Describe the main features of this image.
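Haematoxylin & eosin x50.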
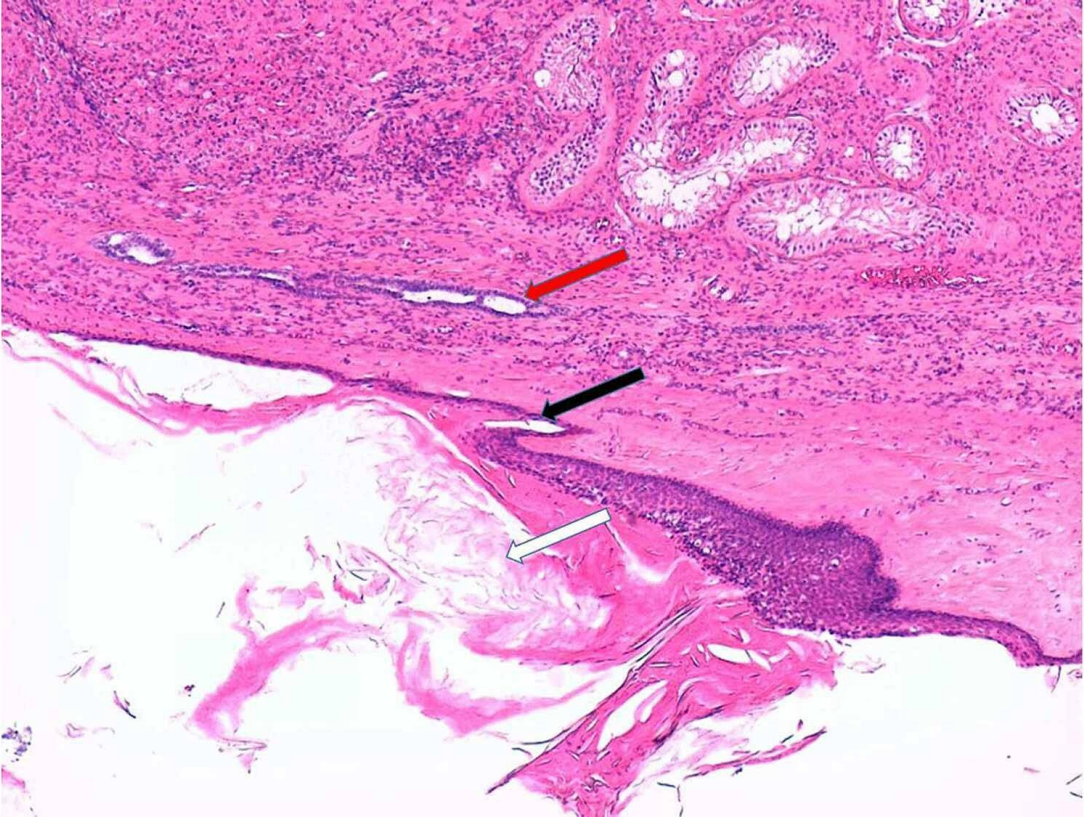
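This section shows testicular tissue at the edge of a cyst, with round tubules lined by layered epithelium in the upper part and a band of compressed, fibrous pink stroma below them. Within this stroma a thin tubular structure is stretched and flattened parallel to the cyst wall. The cyst is lined by a multilayered squamous epithelium of closely packed cells with dark purple nuclei. Its lumen, below, is filled with pale to bright pink flaky, lamellated material without nuclei.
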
